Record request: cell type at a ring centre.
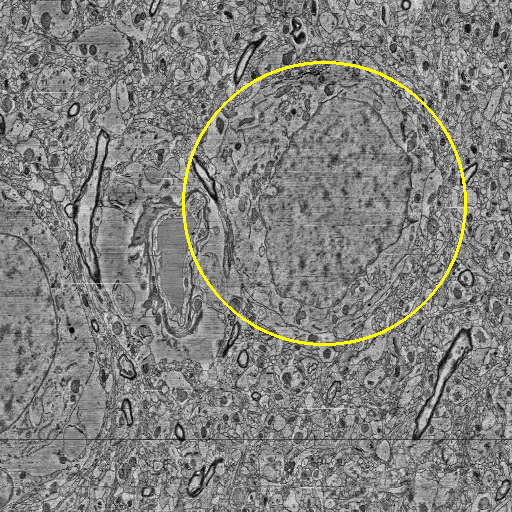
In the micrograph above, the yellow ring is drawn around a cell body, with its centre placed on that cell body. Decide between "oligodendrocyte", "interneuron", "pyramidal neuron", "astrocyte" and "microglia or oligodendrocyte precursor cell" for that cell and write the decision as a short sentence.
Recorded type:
The cell centred in the yellow ring is an interneuron.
